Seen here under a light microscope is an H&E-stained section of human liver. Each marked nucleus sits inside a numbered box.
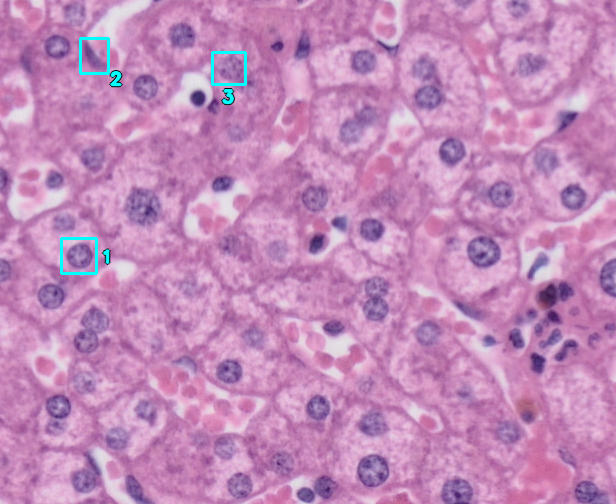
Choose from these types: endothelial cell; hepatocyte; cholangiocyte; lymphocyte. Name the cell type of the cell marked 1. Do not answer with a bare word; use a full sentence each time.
Number 1 is placed on a hepatocyte here.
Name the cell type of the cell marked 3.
The cell pointed out as number 3 is a hepatocyte.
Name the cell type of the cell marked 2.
Within this field of view, the cell labelled 2 is an endothelial cell.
